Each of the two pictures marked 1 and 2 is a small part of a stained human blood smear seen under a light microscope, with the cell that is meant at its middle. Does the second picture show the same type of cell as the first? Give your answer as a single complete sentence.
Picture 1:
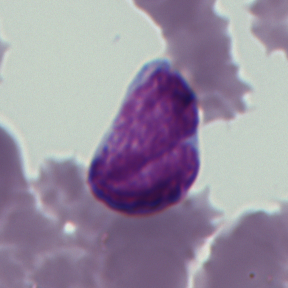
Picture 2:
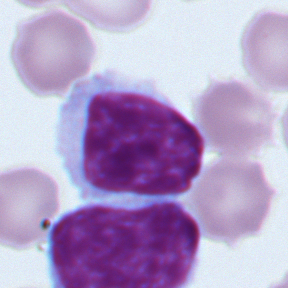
No, the types are not the same, since picture 1 shows a myeloblast and picture 2 a typical lymphocyte.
